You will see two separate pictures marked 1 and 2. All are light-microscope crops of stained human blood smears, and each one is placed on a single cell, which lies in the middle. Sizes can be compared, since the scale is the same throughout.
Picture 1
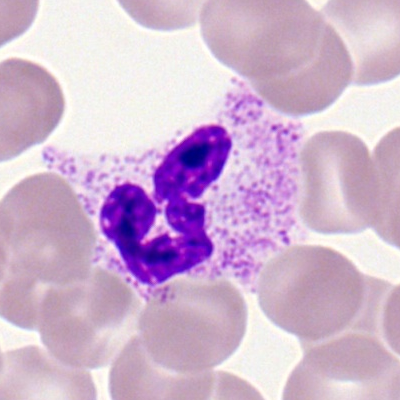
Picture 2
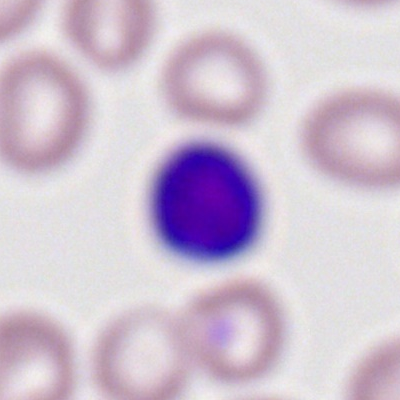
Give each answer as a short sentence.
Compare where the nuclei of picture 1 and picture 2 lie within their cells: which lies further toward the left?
In picture 1 the nucleus is shifted more toward the left.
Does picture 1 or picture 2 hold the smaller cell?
Smaller is the cell in picture 2, and the other is about 2.5 times as large in area.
